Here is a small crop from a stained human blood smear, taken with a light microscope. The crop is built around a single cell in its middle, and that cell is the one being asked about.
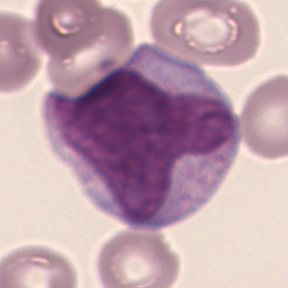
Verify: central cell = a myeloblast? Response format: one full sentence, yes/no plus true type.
No, it is not a myeloblast that sits at the centre but an atypical promyelocyte.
